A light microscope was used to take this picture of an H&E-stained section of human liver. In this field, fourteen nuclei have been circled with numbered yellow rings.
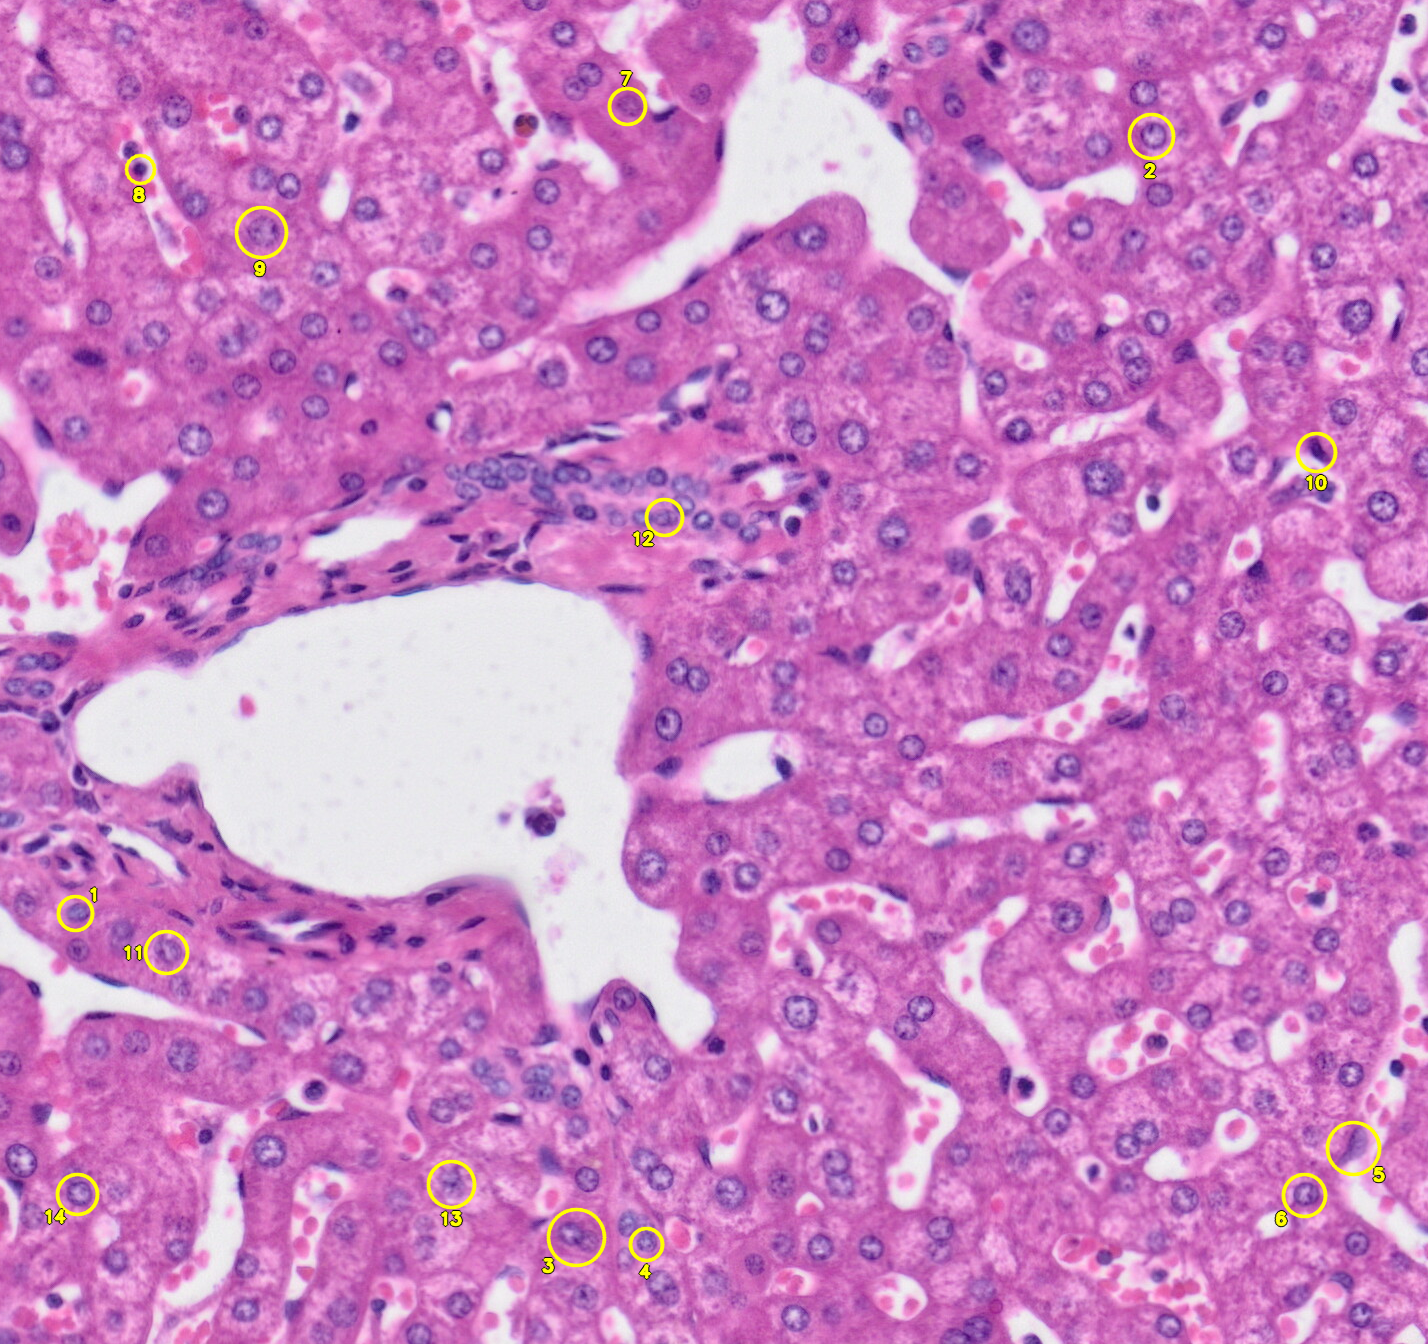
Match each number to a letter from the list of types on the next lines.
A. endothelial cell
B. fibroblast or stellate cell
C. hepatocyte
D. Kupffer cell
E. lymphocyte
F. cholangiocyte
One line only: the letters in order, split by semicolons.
F; C; C; F; D; C; C; E; C; B; C; F; C; C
